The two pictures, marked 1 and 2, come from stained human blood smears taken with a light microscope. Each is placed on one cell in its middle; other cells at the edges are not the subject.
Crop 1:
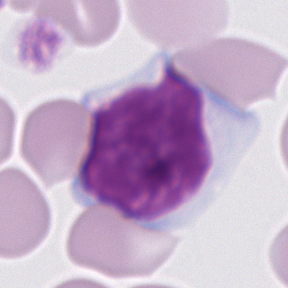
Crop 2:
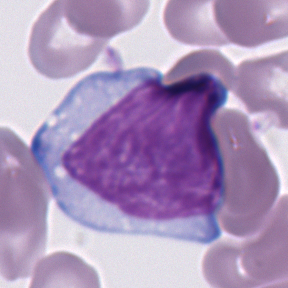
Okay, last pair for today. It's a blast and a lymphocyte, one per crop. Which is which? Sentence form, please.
The cell of crop 1 is a lymphocyte; that of crop 2 is a blast.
